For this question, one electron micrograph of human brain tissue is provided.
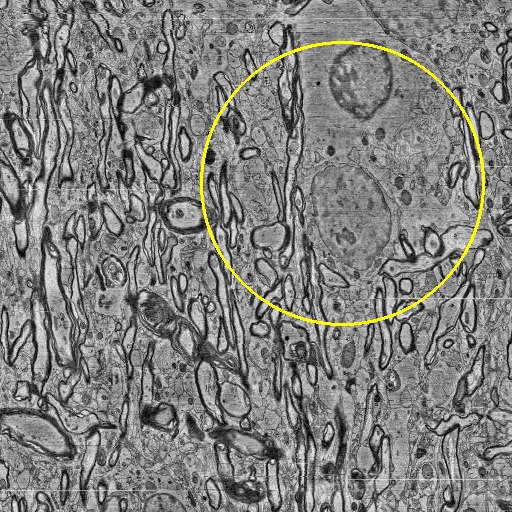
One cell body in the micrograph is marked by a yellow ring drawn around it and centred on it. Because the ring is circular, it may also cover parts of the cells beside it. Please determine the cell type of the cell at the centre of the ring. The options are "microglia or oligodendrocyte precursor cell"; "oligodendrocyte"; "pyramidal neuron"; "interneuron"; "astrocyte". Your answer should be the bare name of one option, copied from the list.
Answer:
oligodendrocyte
